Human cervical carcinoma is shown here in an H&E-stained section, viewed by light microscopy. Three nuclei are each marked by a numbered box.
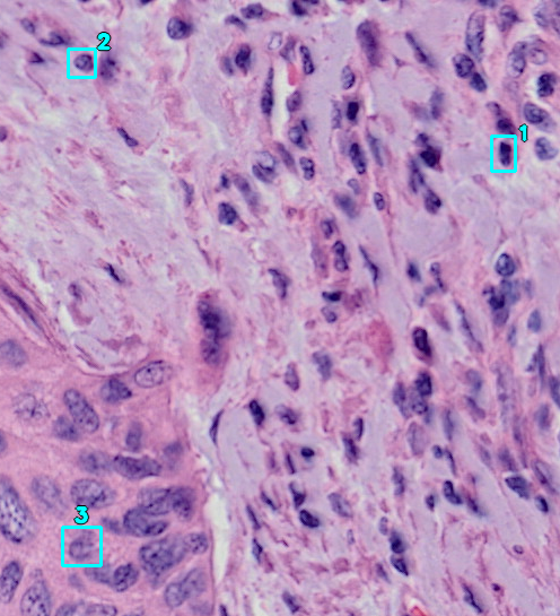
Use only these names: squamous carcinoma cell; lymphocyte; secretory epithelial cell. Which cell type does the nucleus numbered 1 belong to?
lymphocyte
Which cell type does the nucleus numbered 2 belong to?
lymphocyte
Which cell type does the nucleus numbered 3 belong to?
squamous carcinoma cell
